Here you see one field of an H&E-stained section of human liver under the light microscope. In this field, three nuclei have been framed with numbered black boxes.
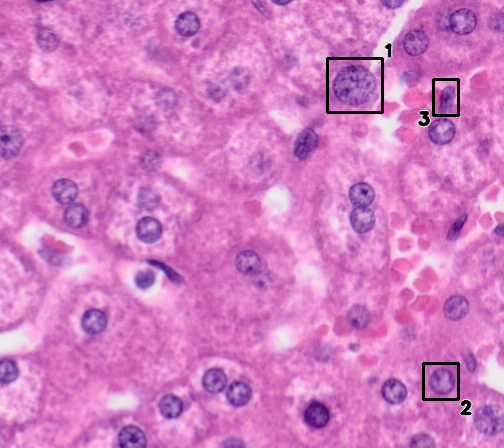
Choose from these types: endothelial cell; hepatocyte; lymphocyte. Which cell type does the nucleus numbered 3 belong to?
endothelial cell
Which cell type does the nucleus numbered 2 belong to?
hepatocyte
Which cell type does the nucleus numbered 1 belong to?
hepatocyte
